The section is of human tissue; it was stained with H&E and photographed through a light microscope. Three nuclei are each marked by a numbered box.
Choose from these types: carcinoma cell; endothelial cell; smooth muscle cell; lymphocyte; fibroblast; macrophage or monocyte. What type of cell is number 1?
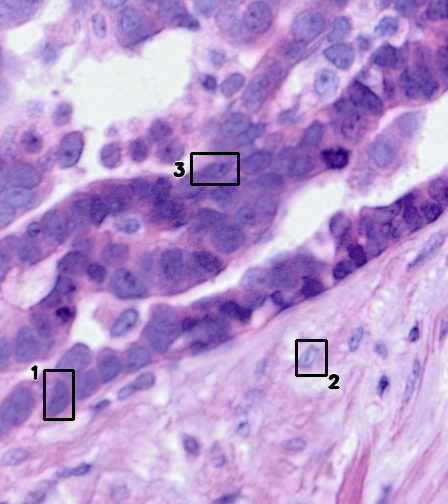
carcinoma cell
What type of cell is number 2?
fibroblast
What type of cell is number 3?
carcinoma cell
